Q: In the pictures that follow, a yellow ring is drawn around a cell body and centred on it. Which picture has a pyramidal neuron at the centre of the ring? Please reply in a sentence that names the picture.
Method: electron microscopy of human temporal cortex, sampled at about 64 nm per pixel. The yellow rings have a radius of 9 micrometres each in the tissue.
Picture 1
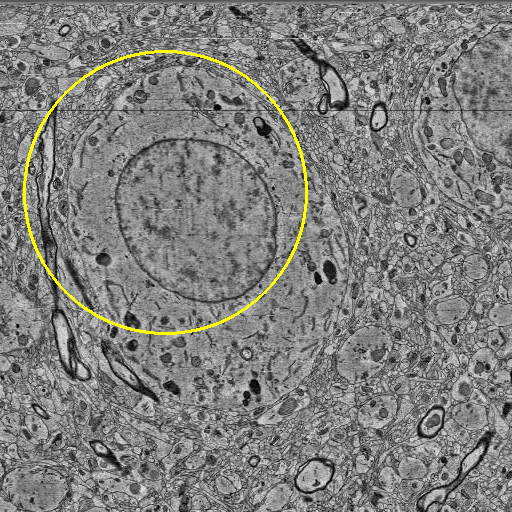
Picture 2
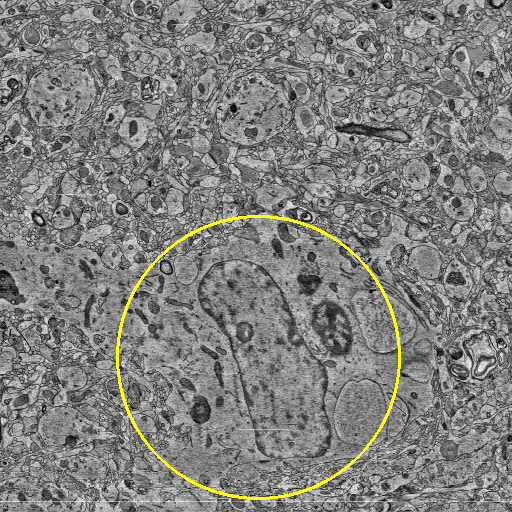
Picture 1 shows it at the centre of its ring.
